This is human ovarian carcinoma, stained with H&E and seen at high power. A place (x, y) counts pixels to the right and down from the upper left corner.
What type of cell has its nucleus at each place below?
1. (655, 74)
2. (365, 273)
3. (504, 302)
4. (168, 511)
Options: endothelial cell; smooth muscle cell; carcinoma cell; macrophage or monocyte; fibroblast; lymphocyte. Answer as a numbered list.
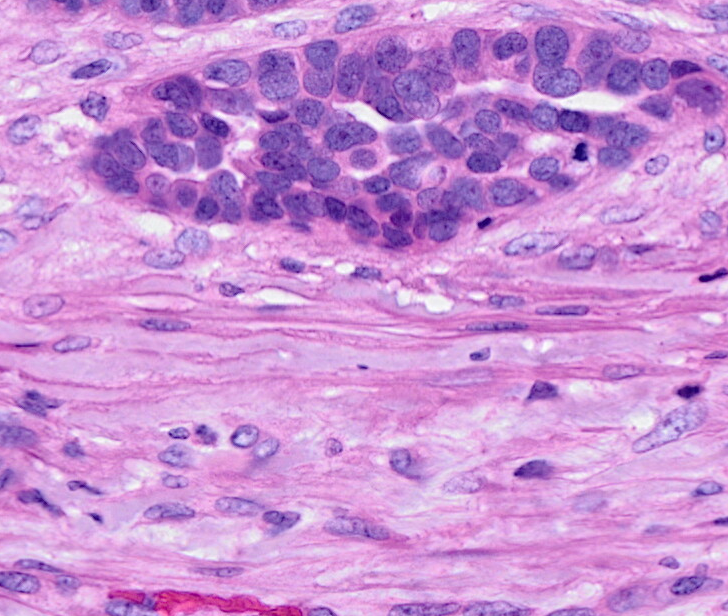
1. carcinoma cell
2. fibroblast
3. fibroblast
4. fibroblast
